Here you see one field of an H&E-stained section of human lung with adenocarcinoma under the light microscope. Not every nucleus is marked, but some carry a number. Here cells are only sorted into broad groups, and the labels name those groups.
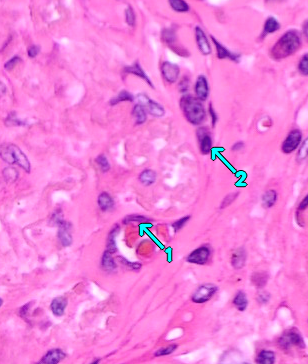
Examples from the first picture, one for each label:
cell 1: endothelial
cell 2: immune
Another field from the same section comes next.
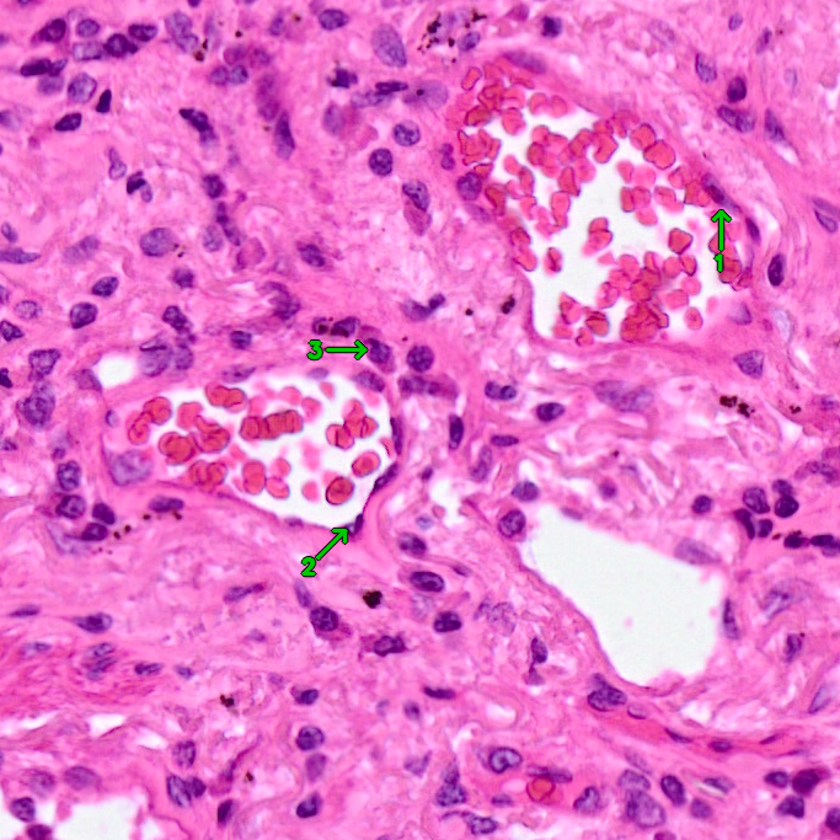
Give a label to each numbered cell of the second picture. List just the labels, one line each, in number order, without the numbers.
endothelial
endothelial
immune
